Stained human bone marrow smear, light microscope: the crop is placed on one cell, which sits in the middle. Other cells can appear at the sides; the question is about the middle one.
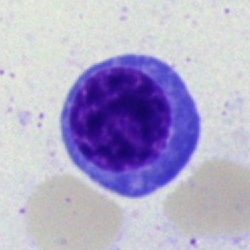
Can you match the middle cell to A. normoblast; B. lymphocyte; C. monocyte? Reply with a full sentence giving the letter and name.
The best answer is option A, since the cell in the middle is a normoblast.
